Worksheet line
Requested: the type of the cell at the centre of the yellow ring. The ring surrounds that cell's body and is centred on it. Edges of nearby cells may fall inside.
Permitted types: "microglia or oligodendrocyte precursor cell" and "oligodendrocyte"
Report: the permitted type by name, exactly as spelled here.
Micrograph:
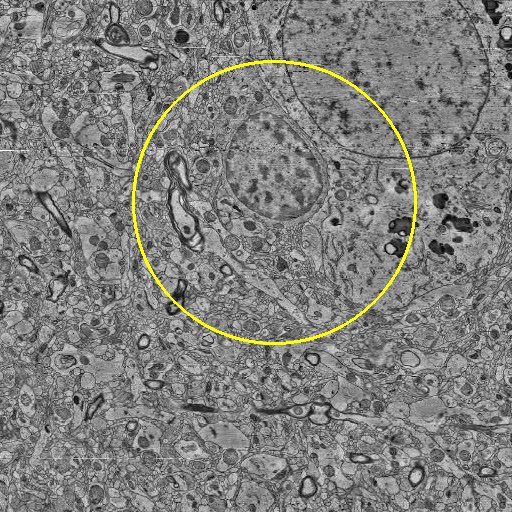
oligodendrocyte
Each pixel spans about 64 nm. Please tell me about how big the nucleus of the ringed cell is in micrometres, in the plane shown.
About 7 by 6 micrometers, in this plane.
